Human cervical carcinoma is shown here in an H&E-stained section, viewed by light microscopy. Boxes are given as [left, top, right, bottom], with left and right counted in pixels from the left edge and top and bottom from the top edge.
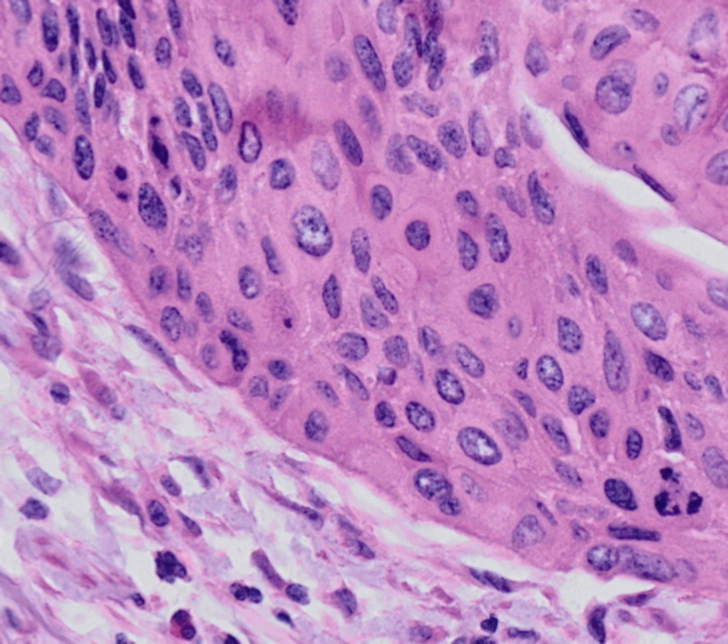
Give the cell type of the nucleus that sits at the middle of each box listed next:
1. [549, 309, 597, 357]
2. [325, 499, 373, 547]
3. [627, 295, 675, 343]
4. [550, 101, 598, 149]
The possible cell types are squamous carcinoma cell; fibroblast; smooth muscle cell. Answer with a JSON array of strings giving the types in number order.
["squamous carcinoma cell", "fibroblast", "squamous carcinoma cell", "squamous carcinoma cell"]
